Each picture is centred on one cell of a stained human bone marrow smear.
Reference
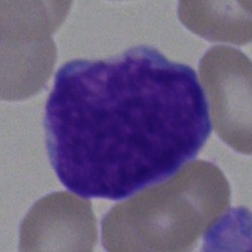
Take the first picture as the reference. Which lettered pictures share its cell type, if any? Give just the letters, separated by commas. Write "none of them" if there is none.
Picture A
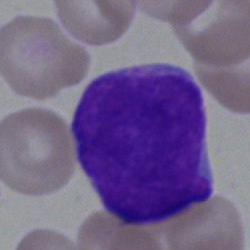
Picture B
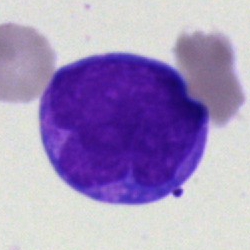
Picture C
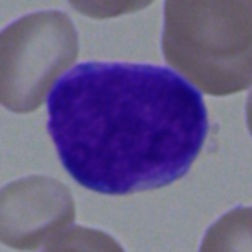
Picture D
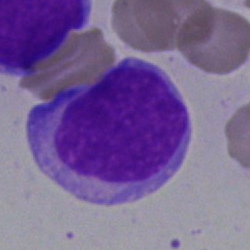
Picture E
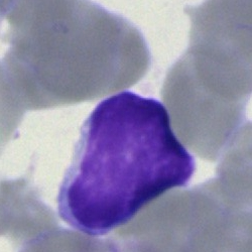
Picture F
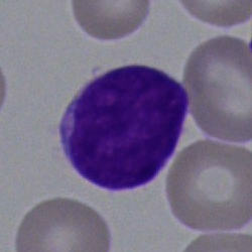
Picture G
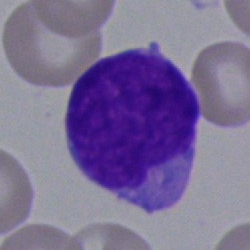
A, B, C, D, F, G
